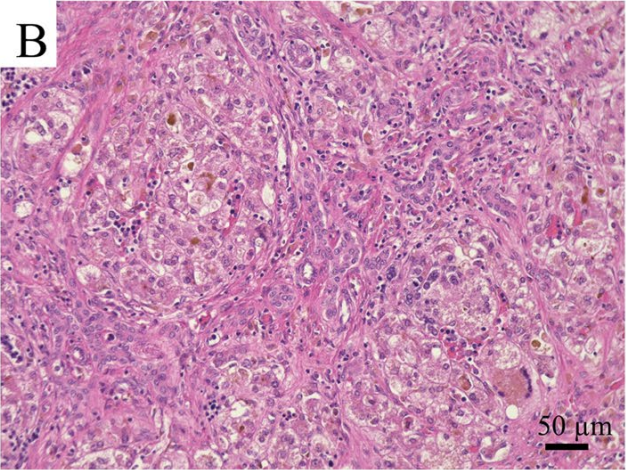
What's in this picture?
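Liver parenchyma with hepatocytes set in nodules divided by pink fibrous bands. Many hepatocytes are swollen with pale, cleared or wispy cytoplasm (ballooning). Brown-yellow pigment globules and plugs lie within and between hepatocytes, consistent with cholestasis. A large cell with several nuclei is seen near the lower right. Small cells with dark round nuclei are scattered through the fibrous bands and around the nodules.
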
